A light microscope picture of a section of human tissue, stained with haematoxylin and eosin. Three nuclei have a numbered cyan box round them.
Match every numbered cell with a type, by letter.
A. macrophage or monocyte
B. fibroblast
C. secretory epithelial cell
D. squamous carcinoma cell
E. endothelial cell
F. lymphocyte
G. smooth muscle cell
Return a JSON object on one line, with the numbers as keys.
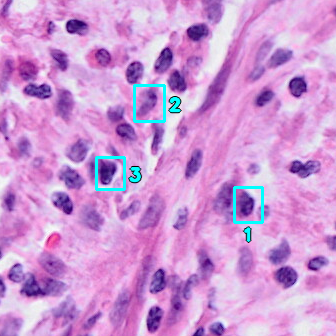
{"1": "F", "2": "A", "3": "F"}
